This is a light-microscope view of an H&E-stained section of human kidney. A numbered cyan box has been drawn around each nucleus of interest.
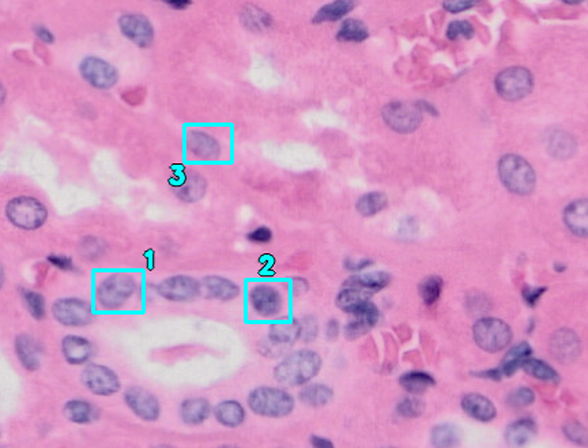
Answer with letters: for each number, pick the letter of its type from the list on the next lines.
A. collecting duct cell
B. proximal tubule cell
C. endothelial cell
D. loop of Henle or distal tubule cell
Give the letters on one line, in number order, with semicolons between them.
A; A; B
